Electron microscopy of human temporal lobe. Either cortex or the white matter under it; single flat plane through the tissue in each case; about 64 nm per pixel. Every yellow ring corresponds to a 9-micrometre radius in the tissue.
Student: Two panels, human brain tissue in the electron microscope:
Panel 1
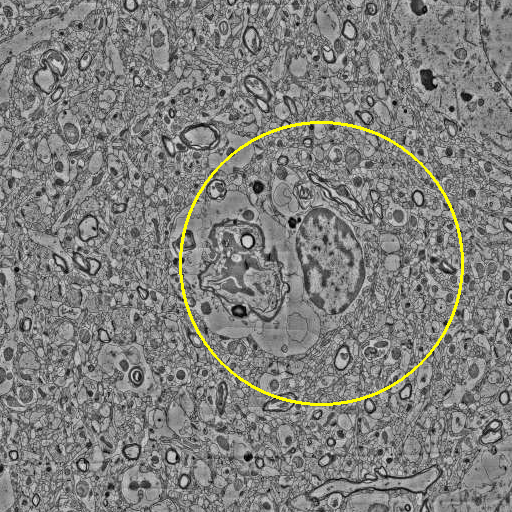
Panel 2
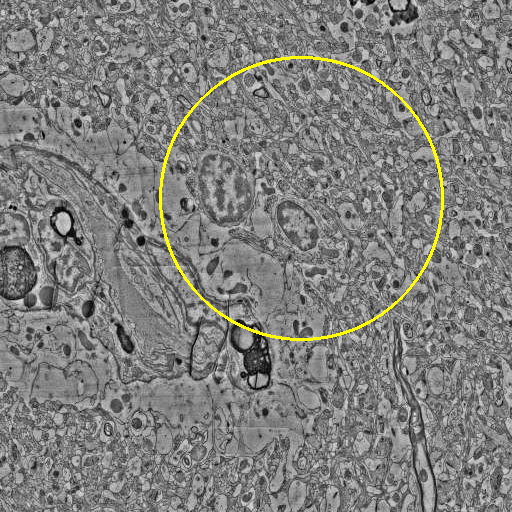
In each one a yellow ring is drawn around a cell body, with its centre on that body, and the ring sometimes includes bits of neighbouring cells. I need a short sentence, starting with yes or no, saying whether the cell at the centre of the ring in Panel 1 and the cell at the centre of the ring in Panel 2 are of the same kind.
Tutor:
Yes, they are the same kind of cell.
